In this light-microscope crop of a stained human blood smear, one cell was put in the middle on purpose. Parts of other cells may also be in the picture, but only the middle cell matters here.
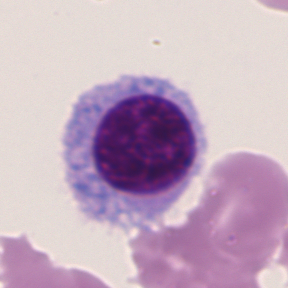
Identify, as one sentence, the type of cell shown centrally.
In the middle of this smear crop is a hairy cell.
